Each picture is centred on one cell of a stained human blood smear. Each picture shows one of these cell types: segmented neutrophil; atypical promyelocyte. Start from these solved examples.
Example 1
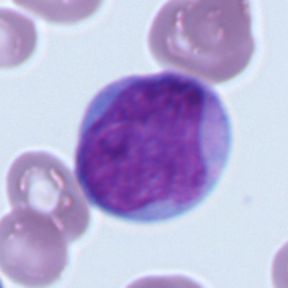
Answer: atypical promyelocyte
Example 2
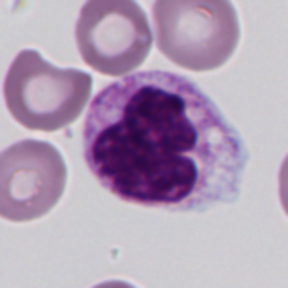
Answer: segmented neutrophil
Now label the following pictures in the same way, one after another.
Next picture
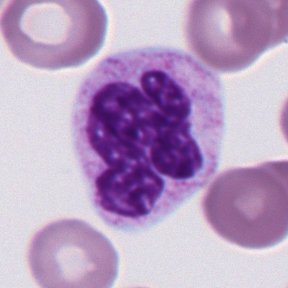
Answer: segmented neutrophil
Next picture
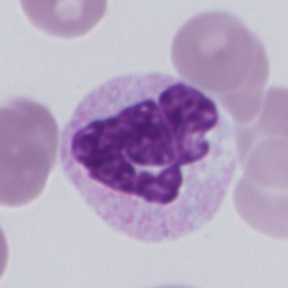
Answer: segmented neutrophil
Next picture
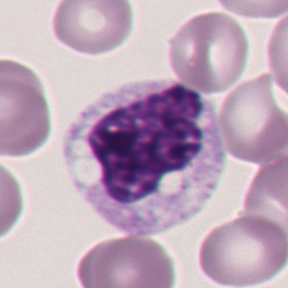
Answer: segmented neutrophil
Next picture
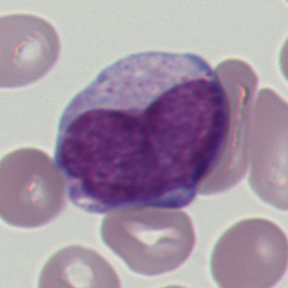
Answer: atypical promyelocyte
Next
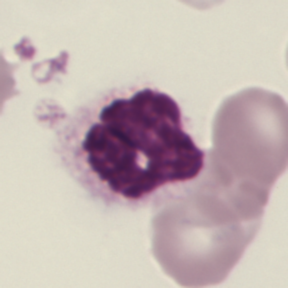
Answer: segmented neutrophil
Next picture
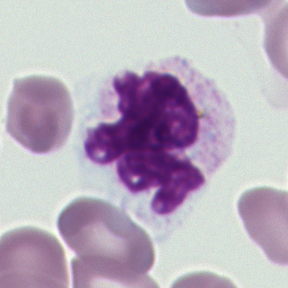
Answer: segmented neutrophil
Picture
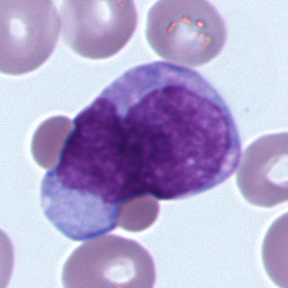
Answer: atypical promyelocyte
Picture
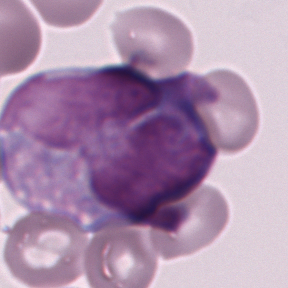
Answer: atypical promyelocyte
